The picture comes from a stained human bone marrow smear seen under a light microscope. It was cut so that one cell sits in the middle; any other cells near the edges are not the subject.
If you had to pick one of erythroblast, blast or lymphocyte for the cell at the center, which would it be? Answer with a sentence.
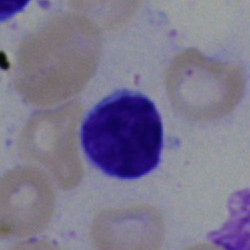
The cell nearest the centre of this crop is a lymphocyte.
